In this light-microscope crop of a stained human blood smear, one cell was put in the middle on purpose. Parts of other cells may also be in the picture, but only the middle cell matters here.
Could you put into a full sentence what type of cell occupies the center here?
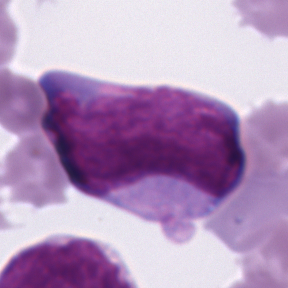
Regarding the central cell, it is a myeloblast.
